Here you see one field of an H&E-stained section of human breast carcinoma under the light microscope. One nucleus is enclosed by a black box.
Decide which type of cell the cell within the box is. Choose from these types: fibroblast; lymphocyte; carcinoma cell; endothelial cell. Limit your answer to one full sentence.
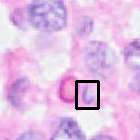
Placed in its cell category, the cell within the box is an endothelial cell.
